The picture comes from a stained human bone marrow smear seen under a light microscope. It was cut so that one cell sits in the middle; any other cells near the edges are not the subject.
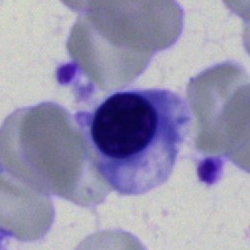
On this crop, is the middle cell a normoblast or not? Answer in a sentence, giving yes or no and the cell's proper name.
Yes, that middle cell in the crop is a normoblast.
